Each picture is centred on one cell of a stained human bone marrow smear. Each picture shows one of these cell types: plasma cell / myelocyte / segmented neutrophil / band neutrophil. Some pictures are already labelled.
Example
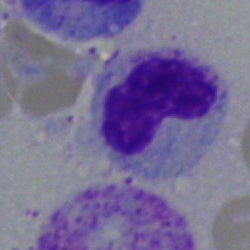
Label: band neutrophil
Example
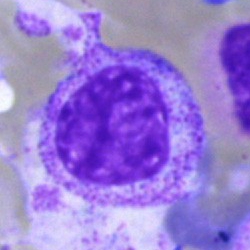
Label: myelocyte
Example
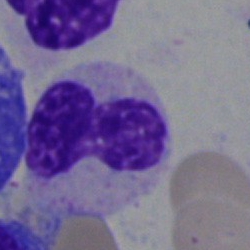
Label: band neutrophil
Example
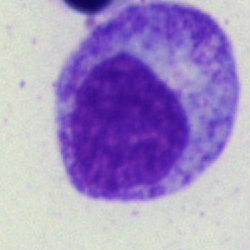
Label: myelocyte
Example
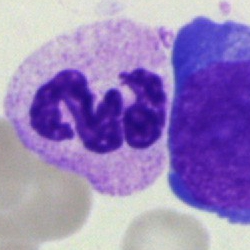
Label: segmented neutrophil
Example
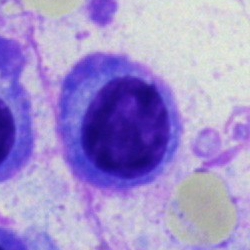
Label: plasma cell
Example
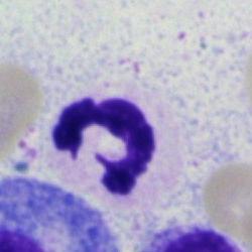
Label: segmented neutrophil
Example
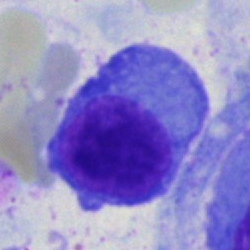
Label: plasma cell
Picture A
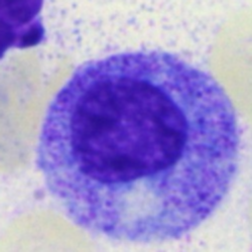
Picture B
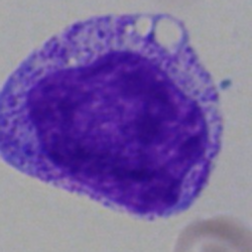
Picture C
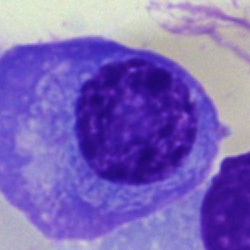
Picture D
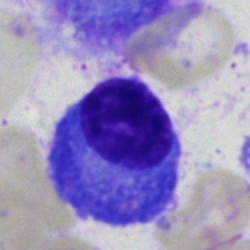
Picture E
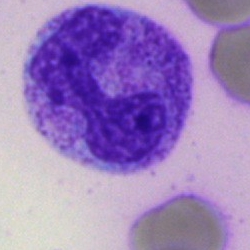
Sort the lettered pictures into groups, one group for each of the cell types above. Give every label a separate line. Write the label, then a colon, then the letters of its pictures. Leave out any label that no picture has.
plasma cell: C, D
myelocyte: A, B
band neutrophil: E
